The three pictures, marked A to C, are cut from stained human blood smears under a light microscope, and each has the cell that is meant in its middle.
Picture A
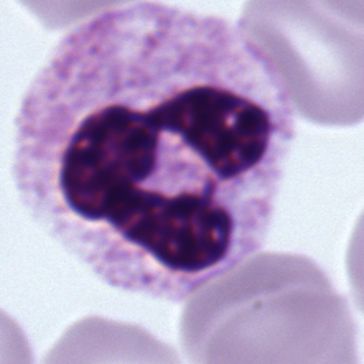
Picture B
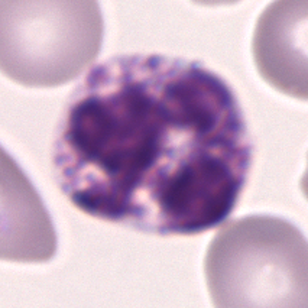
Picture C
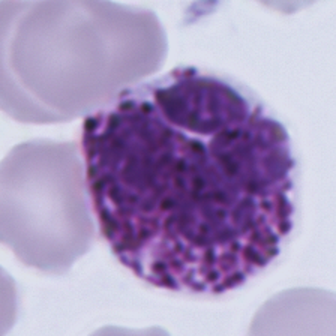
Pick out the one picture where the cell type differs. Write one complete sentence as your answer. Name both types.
Picture A is the odd one out: it shows a segmented neutrophil, while the others show basophils.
